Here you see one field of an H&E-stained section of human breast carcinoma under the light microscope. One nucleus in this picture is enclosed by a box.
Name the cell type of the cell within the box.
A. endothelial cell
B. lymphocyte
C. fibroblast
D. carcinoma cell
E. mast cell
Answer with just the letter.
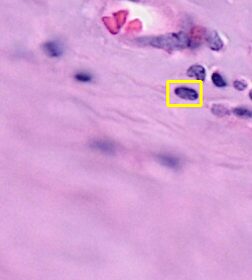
B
